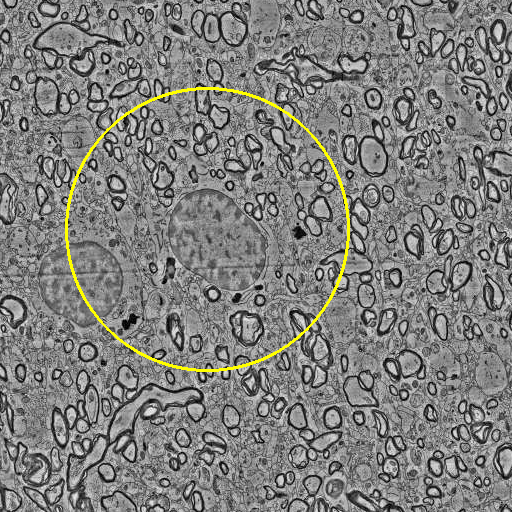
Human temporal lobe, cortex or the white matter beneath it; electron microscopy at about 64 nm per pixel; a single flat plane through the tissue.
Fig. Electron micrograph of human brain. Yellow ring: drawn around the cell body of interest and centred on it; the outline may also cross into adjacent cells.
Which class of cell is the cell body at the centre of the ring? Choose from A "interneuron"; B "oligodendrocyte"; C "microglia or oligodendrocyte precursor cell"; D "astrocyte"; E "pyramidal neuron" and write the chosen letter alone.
C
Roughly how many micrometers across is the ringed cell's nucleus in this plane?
In this plane, approximately 7 by 5 micrometers.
